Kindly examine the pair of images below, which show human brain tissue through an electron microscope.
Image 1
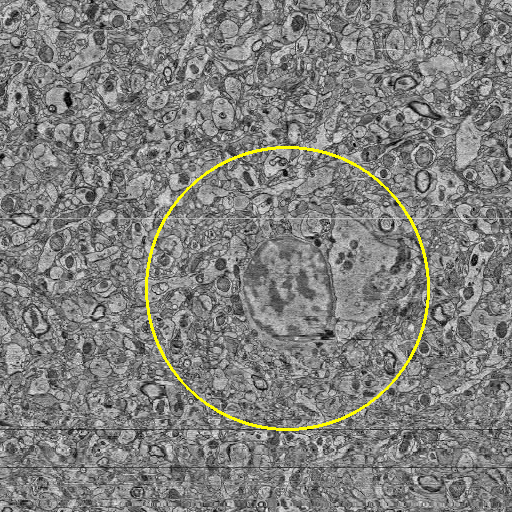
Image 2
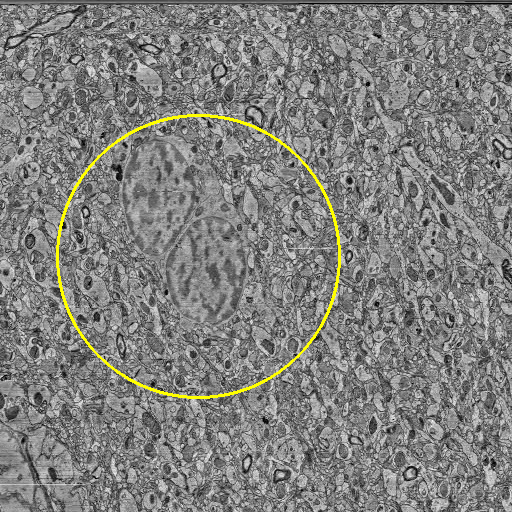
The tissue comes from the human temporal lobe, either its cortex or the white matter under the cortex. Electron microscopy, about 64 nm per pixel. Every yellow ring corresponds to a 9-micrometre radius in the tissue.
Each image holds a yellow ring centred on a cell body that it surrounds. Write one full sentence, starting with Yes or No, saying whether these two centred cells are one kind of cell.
Yes, both cells at the centres of the yellow rings belong to one kind of cell.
